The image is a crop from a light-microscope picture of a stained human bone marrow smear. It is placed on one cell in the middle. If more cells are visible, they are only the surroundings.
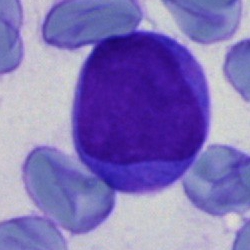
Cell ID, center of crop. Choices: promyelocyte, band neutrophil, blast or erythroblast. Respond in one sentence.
By classification, the middle cell of this crop is a blast.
